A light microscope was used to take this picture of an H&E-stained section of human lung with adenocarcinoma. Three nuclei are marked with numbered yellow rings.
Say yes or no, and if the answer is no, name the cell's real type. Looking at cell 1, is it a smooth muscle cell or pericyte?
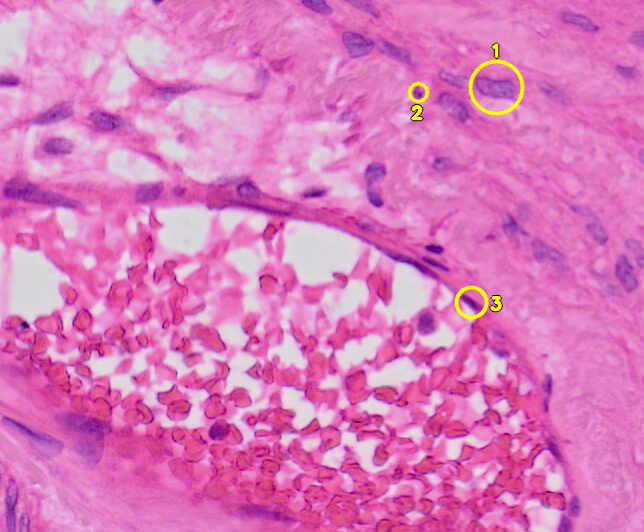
Yes.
